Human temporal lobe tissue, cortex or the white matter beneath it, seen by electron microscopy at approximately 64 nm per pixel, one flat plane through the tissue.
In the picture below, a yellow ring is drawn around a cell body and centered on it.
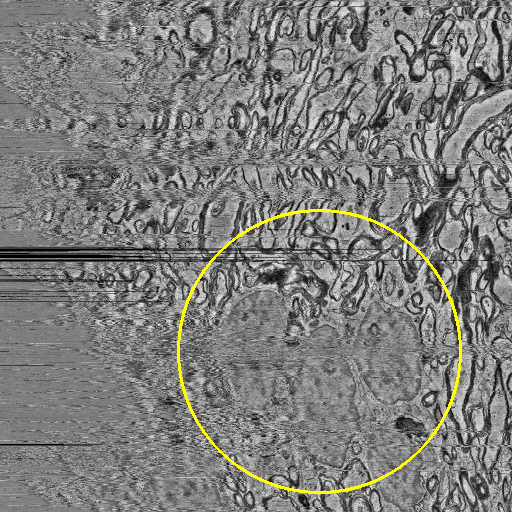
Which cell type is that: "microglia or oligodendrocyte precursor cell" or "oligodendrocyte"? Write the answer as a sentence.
The cell centered in the ring is an oligodendrocyte.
